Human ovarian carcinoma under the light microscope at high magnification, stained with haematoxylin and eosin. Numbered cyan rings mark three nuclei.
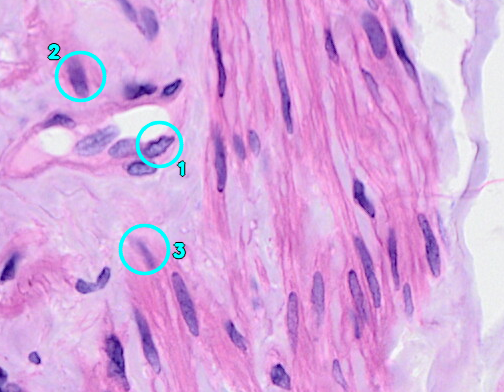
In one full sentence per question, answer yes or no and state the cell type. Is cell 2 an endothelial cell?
No, the one with number 2 is a smooth muscle cell, not an endothelial cell.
